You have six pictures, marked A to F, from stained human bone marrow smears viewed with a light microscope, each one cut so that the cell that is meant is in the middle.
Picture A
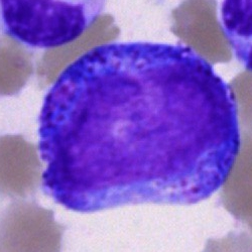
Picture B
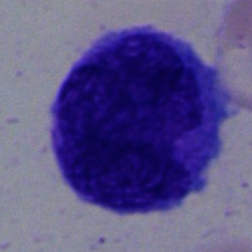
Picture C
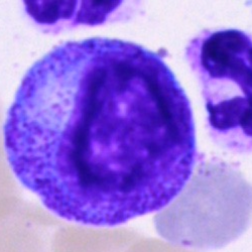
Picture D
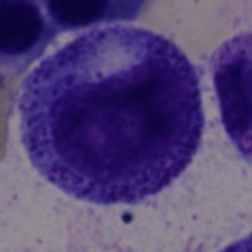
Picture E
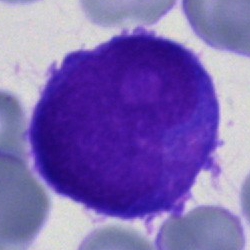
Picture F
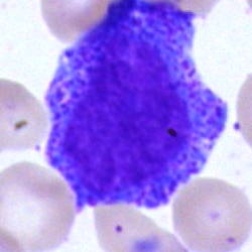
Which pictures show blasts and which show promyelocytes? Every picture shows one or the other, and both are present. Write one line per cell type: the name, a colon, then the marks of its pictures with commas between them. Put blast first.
blast: B, E
promyelocyte: A, C, D, F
